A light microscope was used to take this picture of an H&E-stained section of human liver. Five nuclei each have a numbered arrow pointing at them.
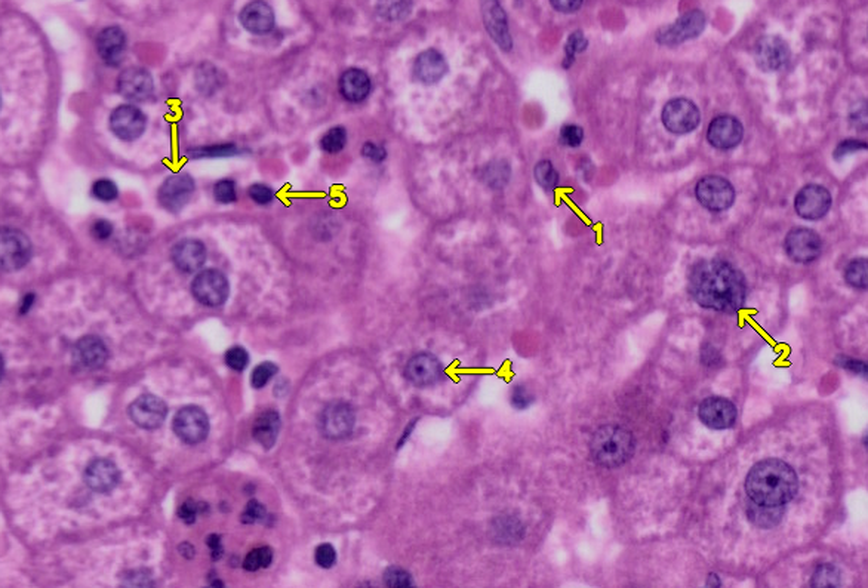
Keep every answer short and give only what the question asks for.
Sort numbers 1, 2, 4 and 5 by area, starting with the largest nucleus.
2, 4, 1, 5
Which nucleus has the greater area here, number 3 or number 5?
3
